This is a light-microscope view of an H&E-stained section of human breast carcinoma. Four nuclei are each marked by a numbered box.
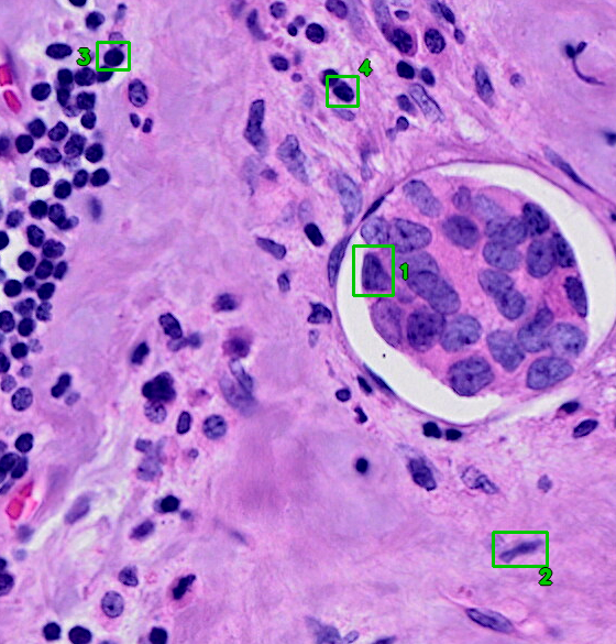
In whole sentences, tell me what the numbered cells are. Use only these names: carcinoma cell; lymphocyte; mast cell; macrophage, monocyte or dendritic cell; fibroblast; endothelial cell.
Cell 1 is a carcinoma cell. Cell 2 is a fibroblast. Cells 3 and 4 are lymphocytes.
